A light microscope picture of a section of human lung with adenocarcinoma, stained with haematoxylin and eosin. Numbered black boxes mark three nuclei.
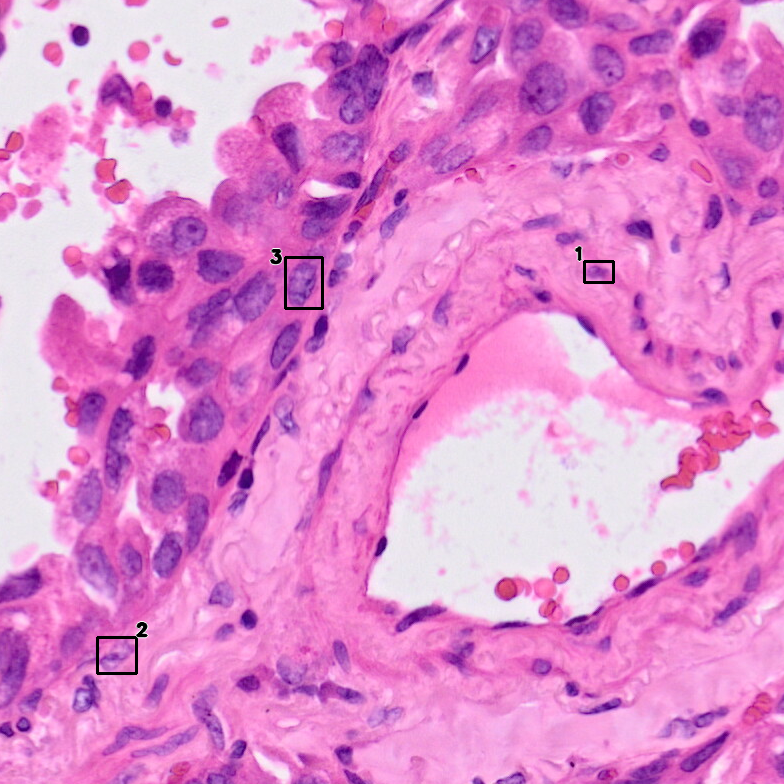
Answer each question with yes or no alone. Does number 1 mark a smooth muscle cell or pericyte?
yes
